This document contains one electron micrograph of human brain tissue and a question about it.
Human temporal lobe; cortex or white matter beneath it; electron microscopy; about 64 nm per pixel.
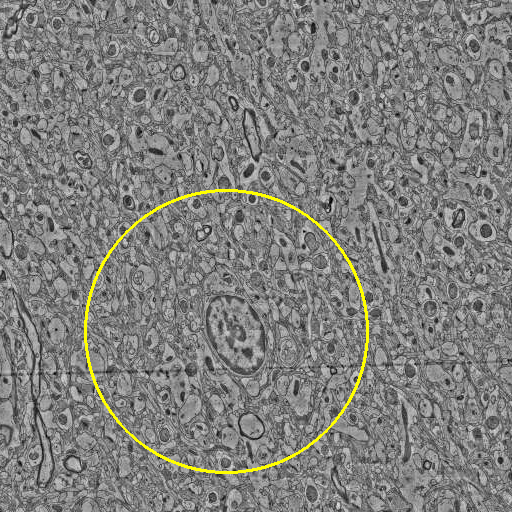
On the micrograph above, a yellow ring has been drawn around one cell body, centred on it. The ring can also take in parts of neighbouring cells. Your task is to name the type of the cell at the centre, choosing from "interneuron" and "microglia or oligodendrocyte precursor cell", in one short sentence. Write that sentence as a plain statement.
Here the ring is centred on a microglial cell or oligodendrocyte precursor cell.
